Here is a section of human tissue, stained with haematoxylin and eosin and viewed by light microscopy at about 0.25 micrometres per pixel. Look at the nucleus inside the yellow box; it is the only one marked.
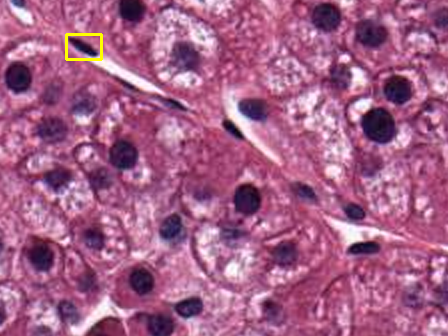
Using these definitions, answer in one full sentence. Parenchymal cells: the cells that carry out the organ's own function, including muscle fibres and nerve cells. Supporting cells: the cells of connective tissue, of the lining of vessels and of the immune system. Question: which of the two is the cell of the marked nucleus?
The cell holding the marked nucleus is identified as a supporting cell.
